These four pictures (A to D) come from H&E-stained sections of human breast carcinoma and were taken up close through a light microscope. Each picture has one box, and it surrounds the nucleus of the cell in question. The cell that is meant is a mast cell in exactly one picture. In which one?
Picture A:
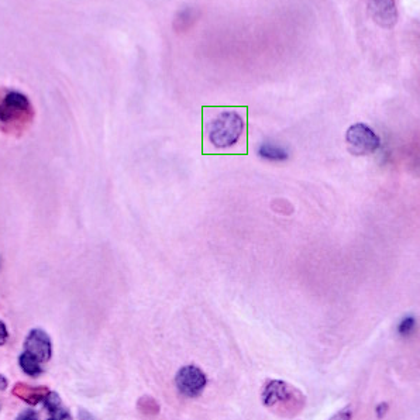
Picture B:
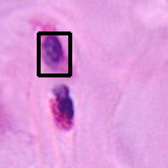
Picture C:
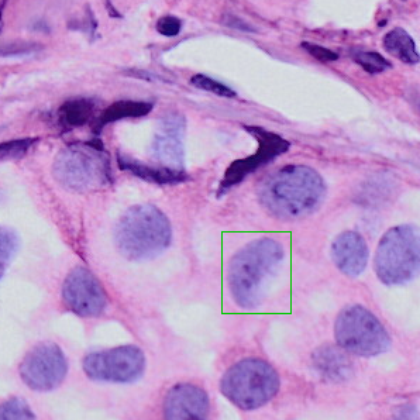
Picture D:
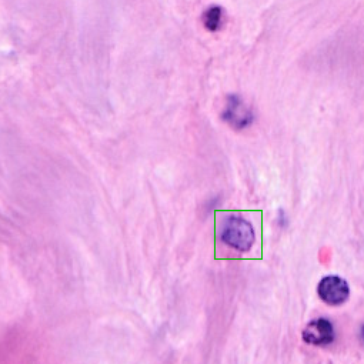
B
